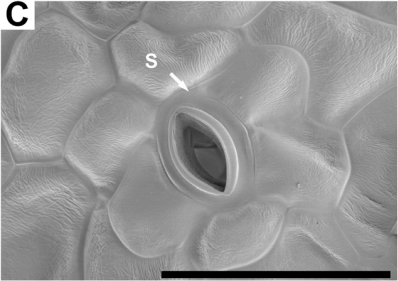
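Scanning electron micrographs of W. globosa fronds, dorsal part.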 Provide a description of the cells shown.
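The stoma is a lens-shaped opening framed by two curved guard cells that together form a smooth, raised ring. Around it lie larger epidermal cells with gently bulging surfaces and wavy, polygonal outlines. The open slit in the centre shows that the pore is not closed.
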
